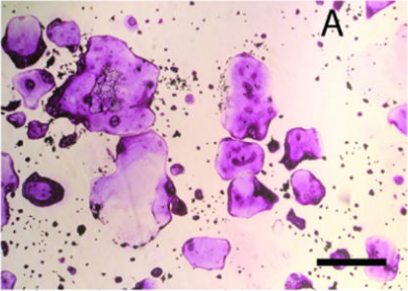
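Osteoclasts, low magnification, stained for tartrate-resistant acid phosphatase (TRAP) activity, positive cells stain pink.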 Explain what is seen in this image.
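Cultured multinuclear giant cells spread on a pale background, stained a strong purple-pink. The cells are very large, flat and irregular in outline, some rounded, others with lobed or angular borders, and they vary widely in size. Within the bigger cell bodies several darker rounded nuclei can be made out, and the cytoplasm is stained unevenly, darker near the edges and in patches. Smaller stained cells lie between the large ones. Many small dark granules and specks are scattered over the background between the cells.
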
